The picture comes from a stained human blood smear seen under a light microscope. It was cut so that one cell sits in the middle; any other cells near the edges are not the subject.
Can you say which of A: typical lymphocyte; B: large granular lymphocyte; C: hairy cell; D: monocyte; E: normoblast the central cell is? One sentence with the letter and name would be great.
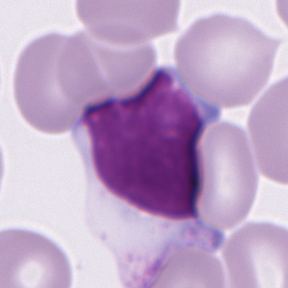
It is a large granular lymphocyte that occupies the centre of the crop, so option B is correct.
